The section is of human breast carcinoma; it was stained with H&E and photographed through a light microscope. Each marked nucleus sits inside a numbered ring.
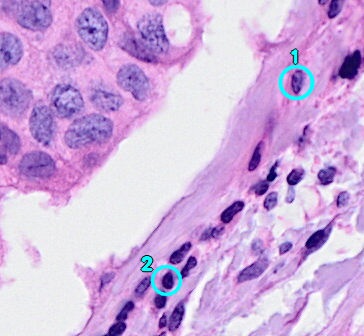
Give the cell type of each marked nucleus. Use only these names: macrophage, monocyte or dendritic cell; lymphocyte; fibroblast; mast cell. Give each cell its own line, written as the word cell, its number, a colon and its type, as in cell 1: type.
cell 1: mast cell
cell 2: lymphocyte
